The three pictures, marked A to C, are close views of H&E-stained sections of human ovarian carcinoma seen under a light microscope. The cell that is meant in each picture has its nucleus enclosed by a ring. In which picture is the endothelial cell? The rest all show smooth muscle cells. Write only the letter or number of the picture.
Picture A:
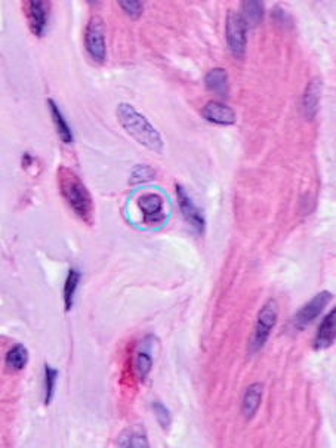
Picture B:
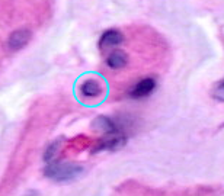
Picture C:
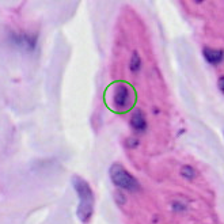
A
